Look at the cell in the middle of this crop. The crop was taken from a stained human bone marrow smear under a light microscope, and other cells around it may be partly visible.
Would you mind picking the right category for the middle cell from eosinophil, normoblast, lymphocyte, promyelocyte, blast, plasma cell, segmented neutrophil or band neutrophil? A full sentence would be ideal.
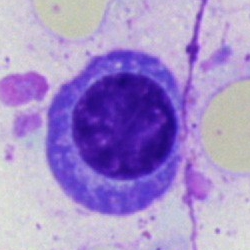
This crop is built around a plasma cell at its centre.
